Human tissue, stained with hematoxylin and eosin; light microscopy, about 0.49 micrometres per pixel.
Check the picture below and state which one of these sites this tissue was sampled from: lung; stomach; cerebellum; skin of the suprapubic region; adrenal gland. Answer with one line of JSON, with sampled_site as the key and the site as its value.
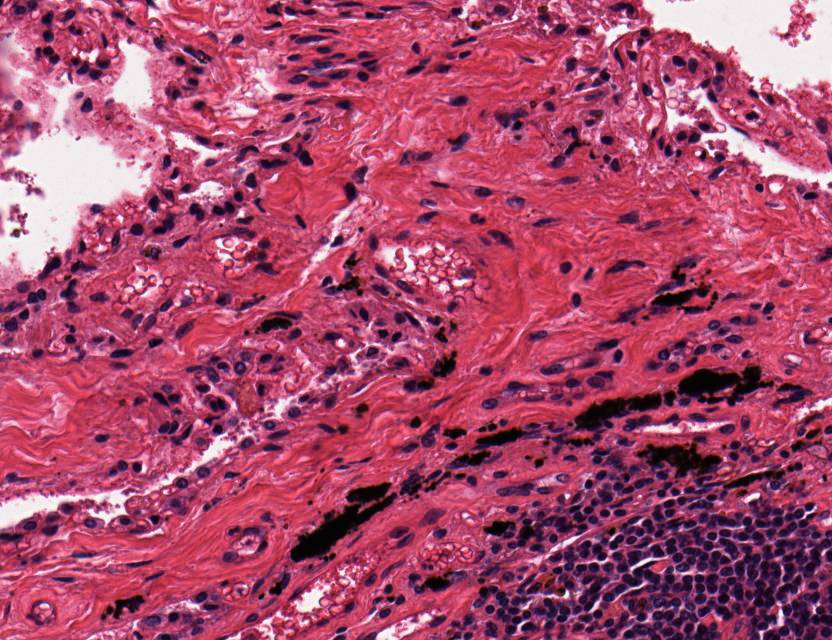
{"sampled_site": "lung"}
